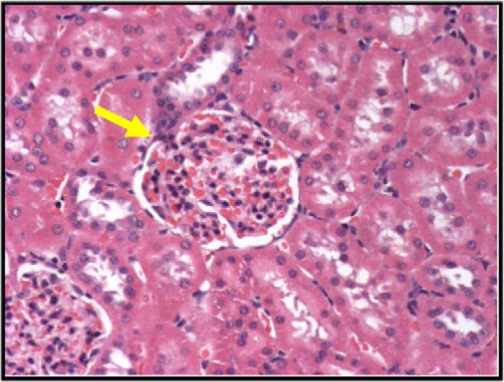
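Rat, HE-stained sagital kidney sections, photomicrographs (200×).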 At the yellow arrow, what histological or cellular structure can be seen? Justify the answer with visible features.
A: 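Glomerular structures. The arrow points at a round, densely nucleated tuft of capillaries containing red blood cells. The tuft is surrounded by a clear space and a thin outer capsule. Tubules with pink cytoplasm surround it.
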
